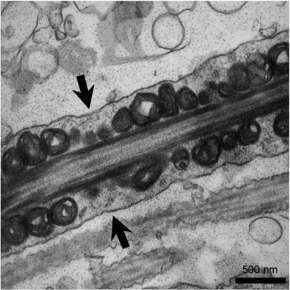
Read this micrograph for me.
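This is a longitudinal section through the midpiece of a late spermatid, where the mitochondrial sheath around the flagellum has formed abnormally. A dense central flagellar core runs diagonally across the image. The mitochondria beside it vary in size and shape, some rounded and some elongated, and are unevenly spaced with gaps between them instead of forming a tight regular row. Excess grainy cytoplasm surrounds the midpiece under the cell membrane.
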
